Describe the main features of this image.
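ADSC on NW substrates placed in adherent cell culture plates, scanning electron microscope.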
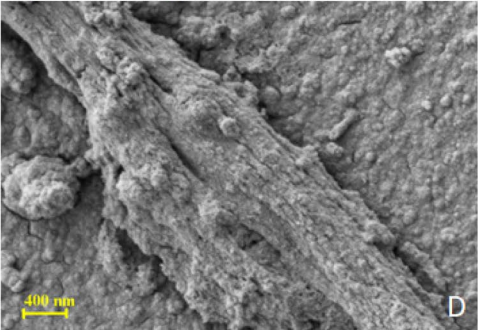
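At high magnification an elongated, tubular cell body crosses the field diagonally over a granular background. Its surface is irregular, studded with small rounded knobs and folds, and a clump of similar granular material lies at one side.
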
